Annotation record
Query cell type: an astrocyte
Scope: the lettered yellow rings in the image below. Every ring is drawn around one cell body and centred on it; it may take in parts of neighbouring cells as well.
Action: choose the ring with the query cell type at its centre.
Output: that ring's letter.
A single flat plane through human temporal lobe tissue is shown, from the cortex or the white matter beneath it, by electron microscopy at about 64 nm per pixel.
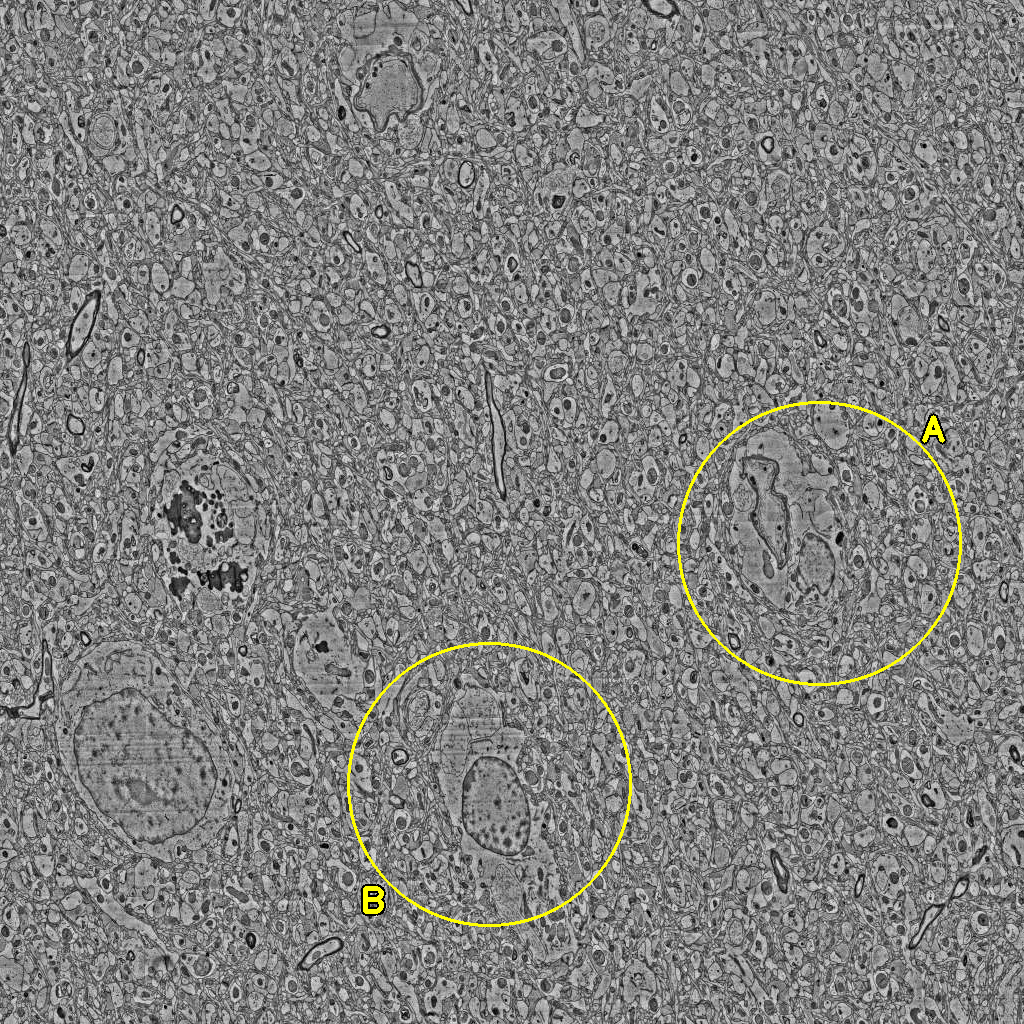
B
